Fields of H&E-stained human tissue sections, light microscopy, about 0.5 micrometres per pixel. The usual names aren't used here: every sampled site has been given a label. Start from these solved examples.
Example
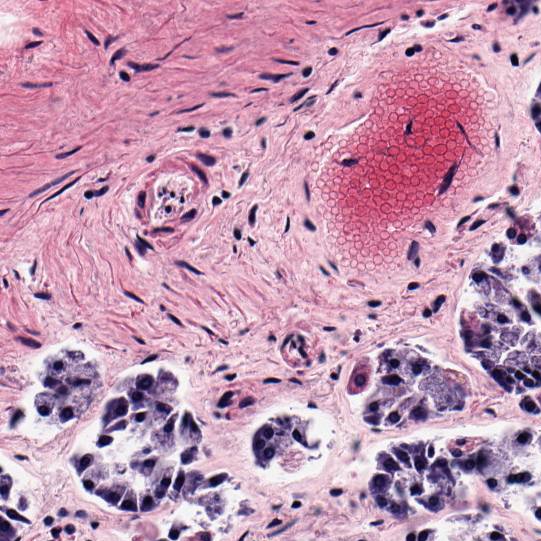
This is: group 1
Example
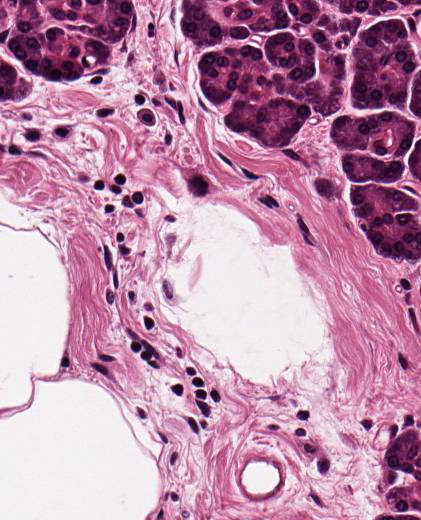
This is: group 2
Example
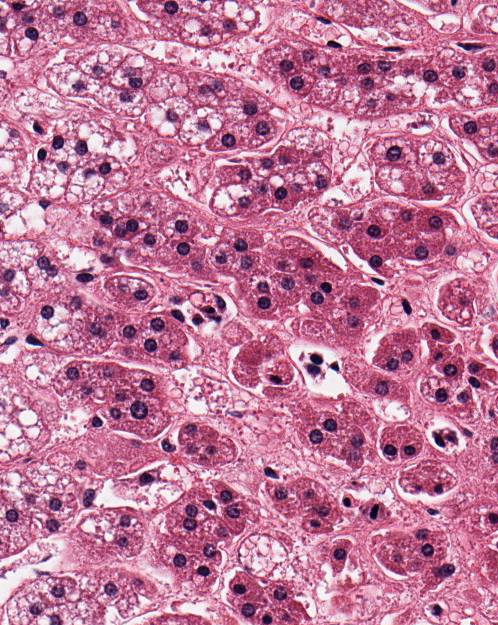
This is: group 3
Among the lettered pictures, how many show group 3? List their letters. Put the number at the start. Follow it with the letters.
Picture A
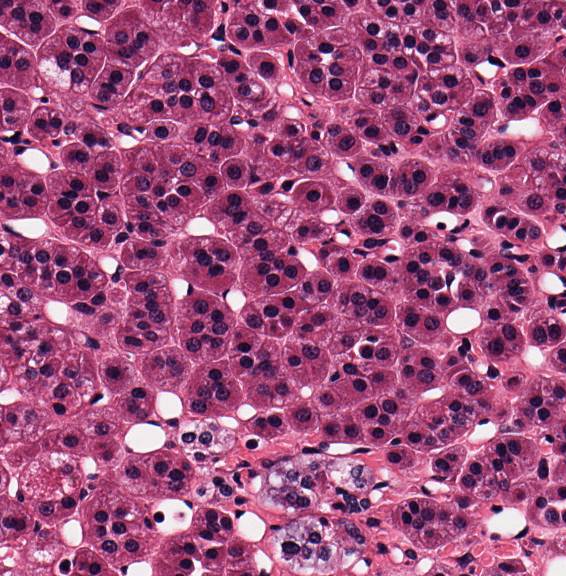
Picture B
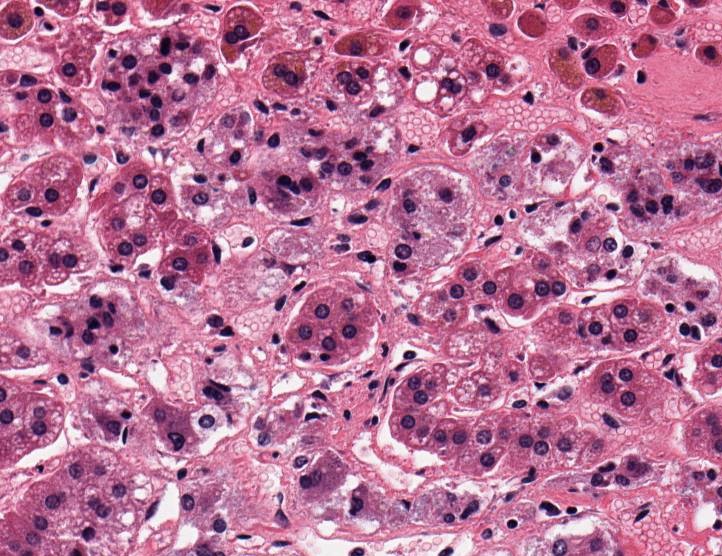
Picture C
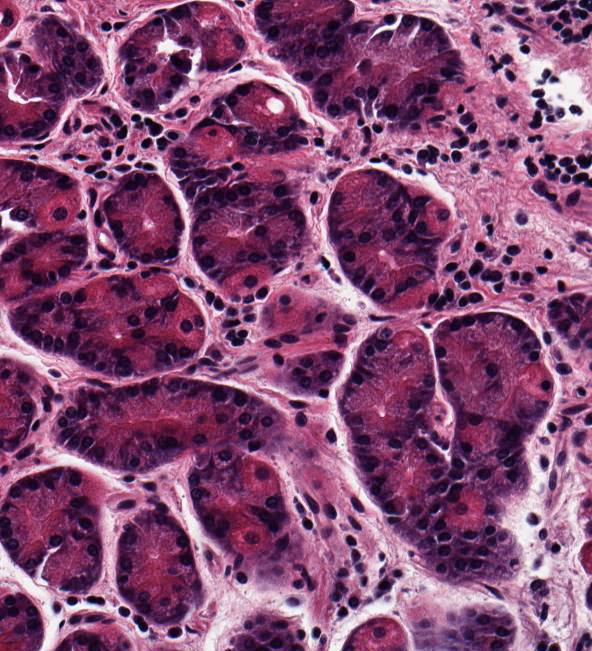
2: A, B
